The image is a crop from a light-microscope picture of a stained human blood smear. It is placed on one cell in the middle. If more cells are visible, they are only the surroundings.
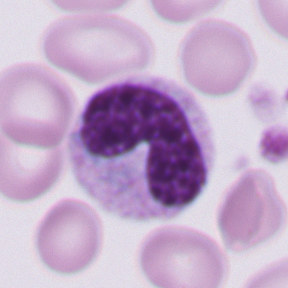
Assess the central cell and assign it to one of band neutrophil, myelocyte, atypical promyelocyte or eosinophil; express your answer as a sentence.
The cell found in the middle of this crop is a band neutrophil.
